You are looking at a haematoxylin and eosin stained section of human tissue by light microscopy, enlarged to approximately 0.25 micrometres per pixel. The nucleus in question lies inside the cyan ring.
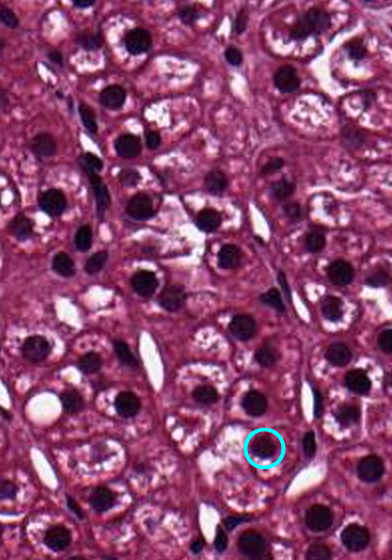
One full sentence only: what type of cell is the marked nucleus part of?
Within the picture, the marked nucleus belongs to an adrenal cortical cell.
